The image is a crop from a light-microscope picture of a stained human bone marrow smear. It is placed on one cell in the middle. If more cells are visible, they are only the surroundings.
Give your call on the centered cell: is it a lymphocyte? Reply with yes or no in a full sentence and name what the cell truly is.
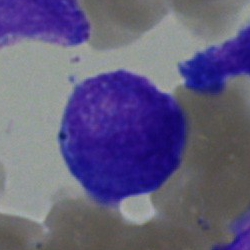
No, the cell in the centre is a blast instead of a lymphocyte.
